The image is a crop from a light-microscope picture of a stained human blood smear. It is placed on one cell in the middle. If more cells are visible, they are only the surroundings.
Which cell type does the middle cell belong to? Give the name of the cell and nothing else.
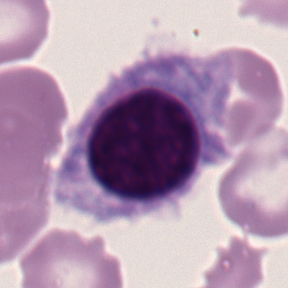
hairy cell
